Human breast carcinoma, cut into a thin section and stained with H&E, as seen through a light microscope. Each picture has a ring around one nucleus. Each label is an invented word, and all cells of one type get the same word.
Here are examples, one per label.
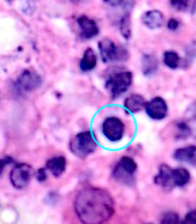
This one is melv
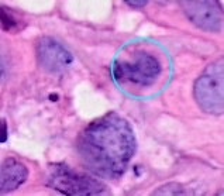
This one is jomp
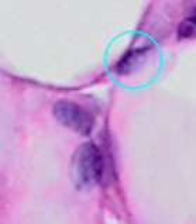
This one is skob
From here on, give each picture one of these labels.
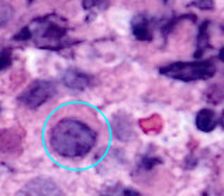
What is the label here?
jomp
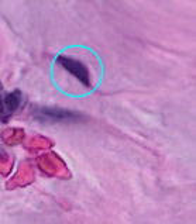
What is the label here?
skob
